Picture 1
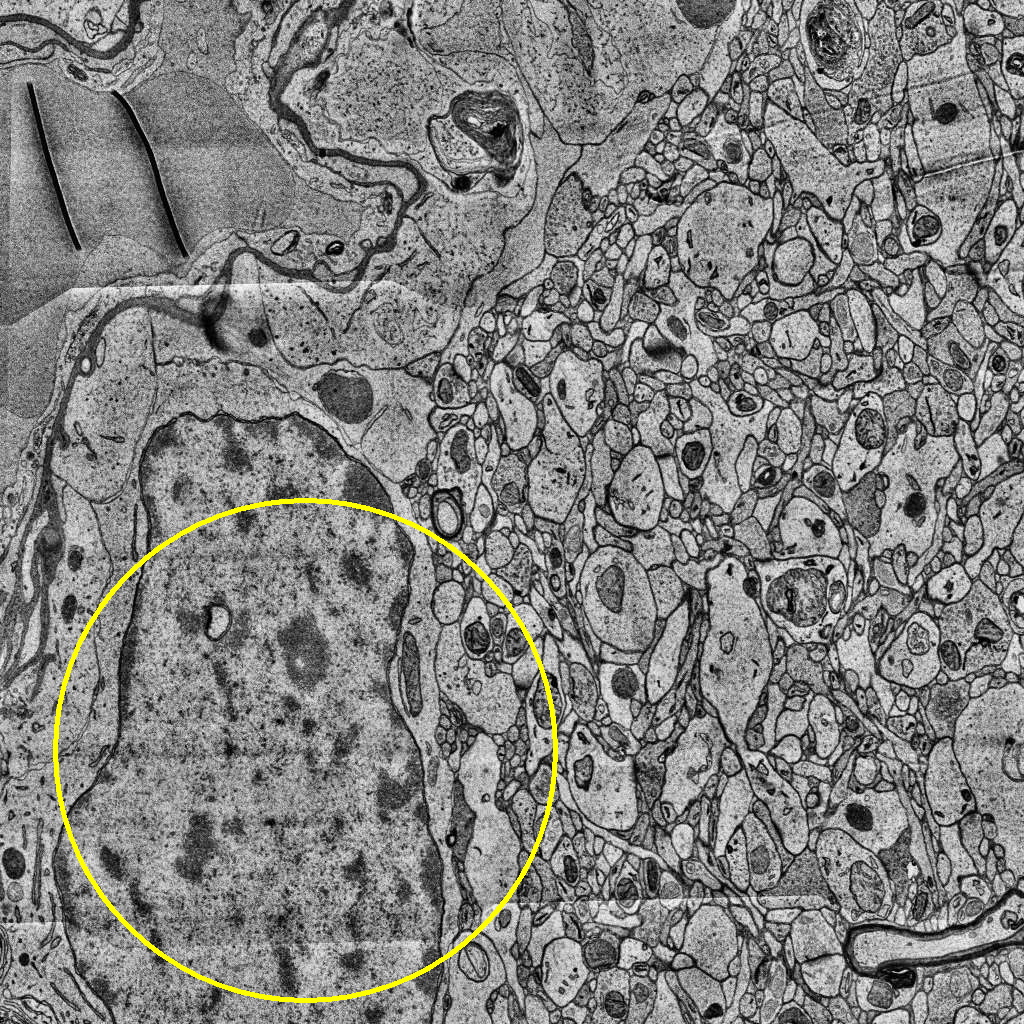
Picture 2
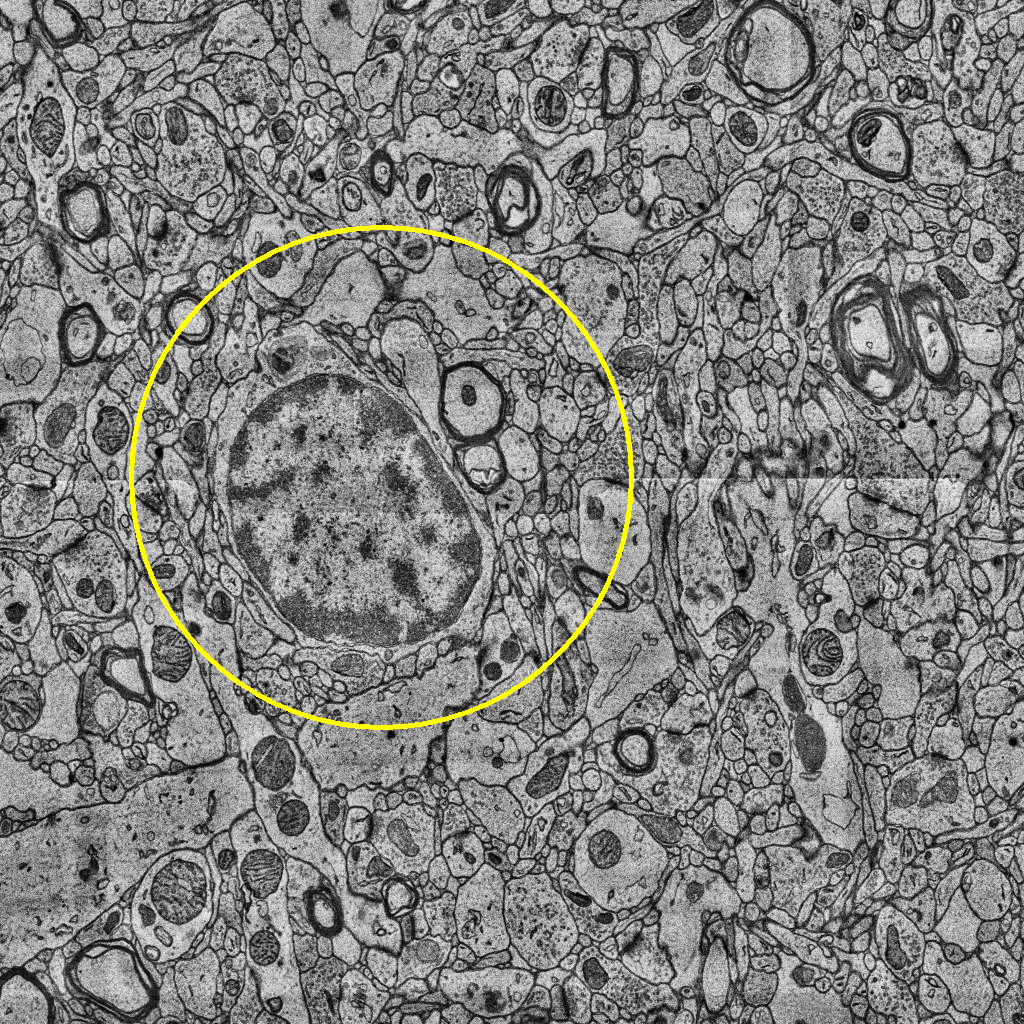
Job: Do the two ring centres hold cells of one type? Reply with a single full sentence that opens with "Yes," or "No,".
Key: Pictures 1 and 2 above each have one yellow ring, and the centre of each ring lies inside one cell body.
Yes, the cells at the two ring centres are of one single type.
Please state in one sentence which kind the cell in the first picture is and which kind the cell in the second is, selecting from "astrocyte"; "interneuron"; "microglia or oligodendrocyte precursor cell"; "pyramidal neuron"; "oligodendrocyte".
Both rings mark a microglial cell or oligodendrocyte precursor cell, one in each picture.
